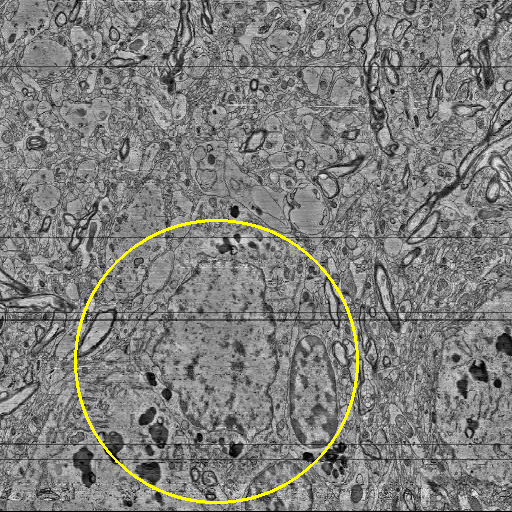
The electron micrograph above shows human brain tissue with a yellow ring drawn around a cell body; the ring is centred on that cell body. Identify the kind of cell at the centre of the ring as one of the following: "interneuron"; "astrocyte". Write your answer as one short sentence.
The cell at the centre of the ring is an interneuron.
